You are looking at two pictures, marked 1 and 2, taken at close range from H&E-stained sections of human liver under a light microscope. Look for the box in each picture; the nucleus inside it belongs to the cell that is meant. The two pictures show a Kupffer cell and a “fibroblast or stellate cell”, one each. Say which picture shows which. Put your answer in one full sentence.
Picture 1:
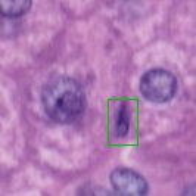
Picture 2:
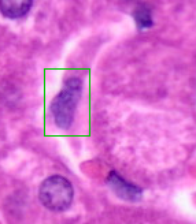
In picture 1 the cell is a “fibroblast or stellate cell”; in picture 2, a Kupffer cell.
